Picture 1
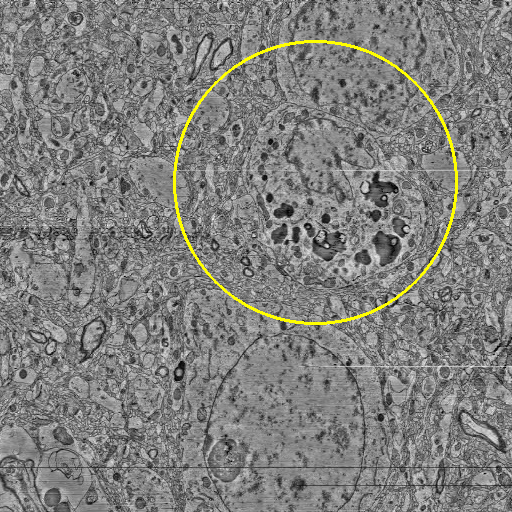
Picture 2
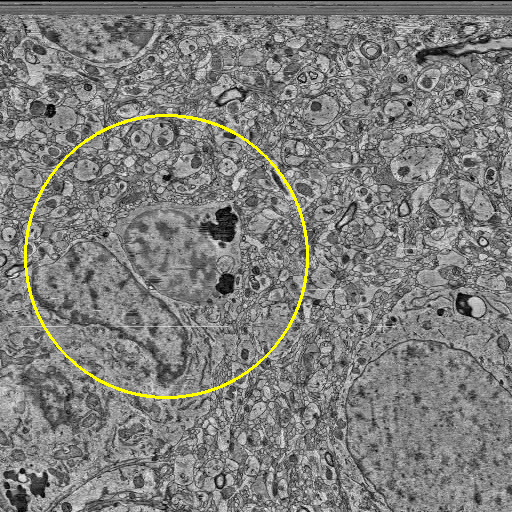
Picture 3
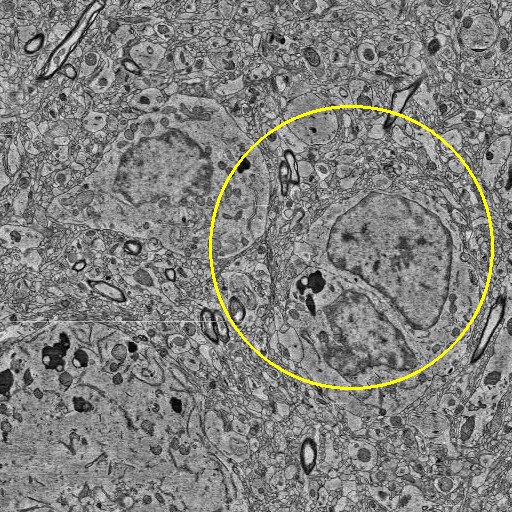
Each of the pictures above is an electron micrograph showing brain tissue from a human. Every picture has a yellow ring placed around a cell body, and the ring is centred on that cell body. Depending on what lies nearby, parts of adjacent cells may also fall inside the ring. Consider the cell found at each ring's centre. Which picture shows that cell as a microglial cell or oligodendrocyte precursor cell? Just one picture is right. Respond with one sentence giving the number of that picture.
The picture showing the wanted cell at the ring's centre is number 3.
